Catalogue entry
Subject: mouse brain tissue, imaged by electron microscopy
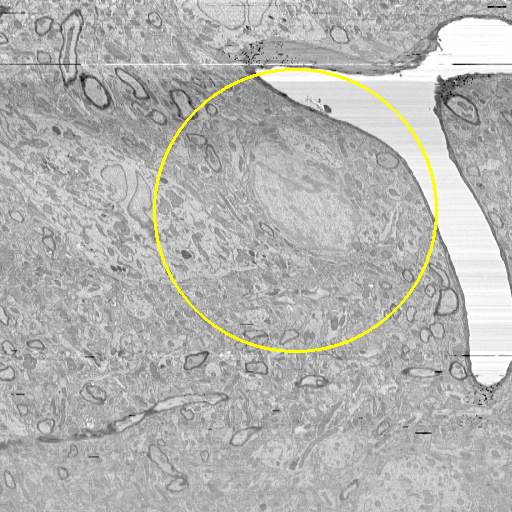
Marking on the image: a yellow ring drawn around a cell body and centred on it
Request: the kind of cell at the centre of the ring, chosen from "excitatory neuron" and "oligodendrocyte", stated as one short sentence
The ring has an oligodendrocyte at its centre.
